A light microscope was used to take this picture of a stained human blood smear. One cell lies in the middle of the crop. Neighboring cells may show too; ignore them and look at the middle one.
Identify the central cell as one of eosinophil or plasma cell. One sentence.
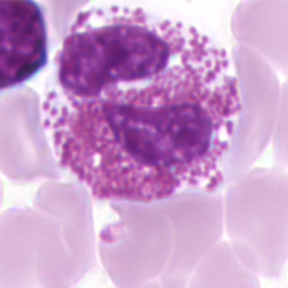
Answering briefly, the cell in the middle is an eosinophil.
